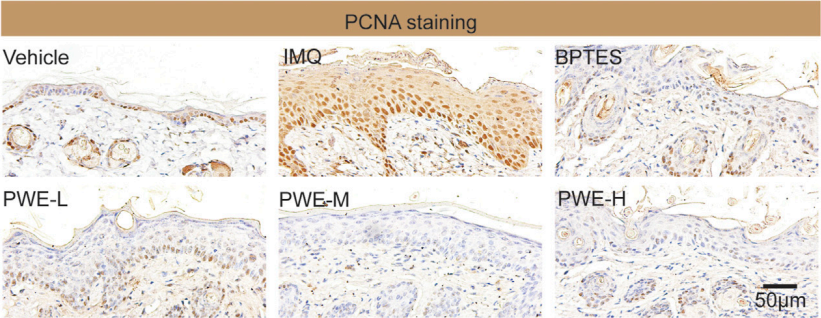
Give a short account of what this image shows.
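These are sections of skin, with the stratified surface epithelium of keratinocytes on top and the dermis with hair follicles below. The brown stain sits mostly in nuclei, while unstained nuclei are counterstained blue. In the upper middle image the epidermis is greatly thickened, many cell layers deep, and most of its nuclei are strongly brown. Beneath the epidermis, round cross-sections of hair follicles and scattered spindle-shaped dermal cells lie in pale connective tissue.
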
